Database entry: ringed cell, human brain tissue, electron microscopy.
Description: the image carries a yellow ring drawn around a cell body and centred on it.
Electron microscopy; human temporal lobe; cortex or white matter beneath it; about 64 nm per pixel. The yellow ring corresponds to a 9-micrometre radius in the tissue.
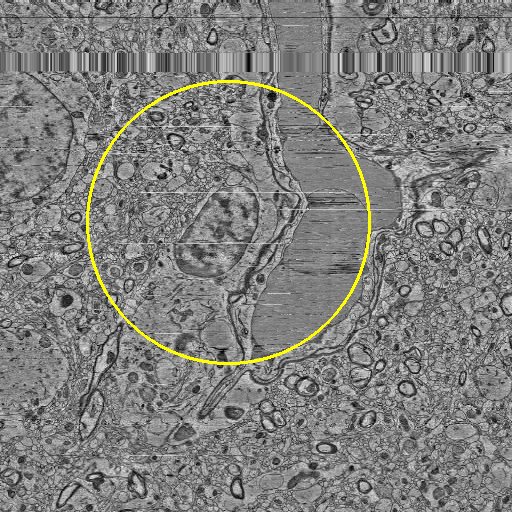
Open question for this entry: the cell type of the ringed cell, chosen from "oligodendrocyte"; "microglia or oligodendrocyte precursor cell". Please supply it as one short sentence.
The ringed cell is a microglial cell or oligodendrocyte precursor cell.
